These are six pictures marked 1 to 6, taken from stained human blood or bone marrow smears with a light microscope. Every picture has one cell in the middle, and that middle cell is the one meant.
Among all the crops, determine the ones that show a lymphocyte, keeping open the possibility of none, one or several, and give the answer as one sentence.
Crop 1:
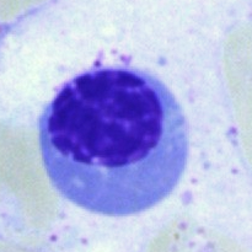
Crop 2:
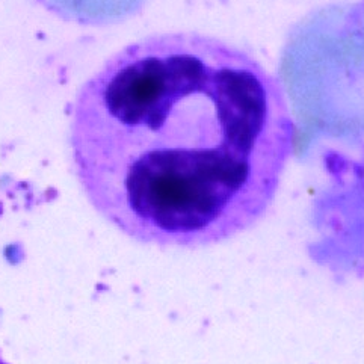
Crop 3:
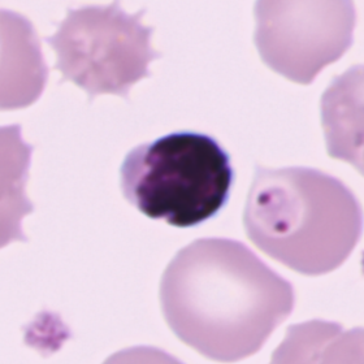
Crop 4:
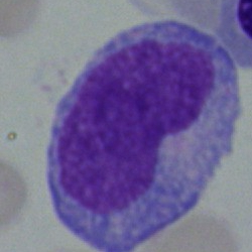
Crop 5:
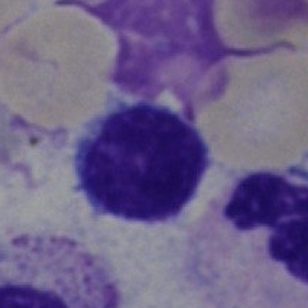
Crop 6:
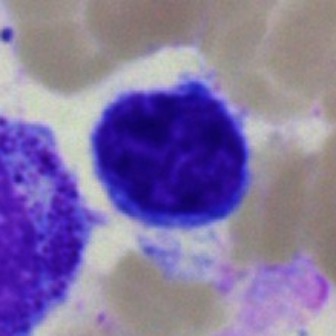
The crops marked 5 and 6 contain lymphocytes at the centre.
